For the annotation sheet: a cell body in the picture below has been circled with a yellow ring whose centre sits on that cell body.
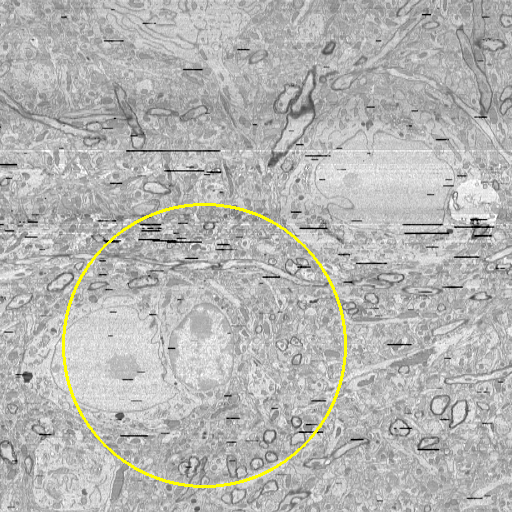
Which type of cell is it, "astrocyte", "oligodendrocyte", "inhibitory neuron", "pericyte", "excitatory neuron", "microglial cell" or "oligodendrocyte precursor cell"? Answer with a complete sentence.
The circled cell is an oligodendrocyte.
